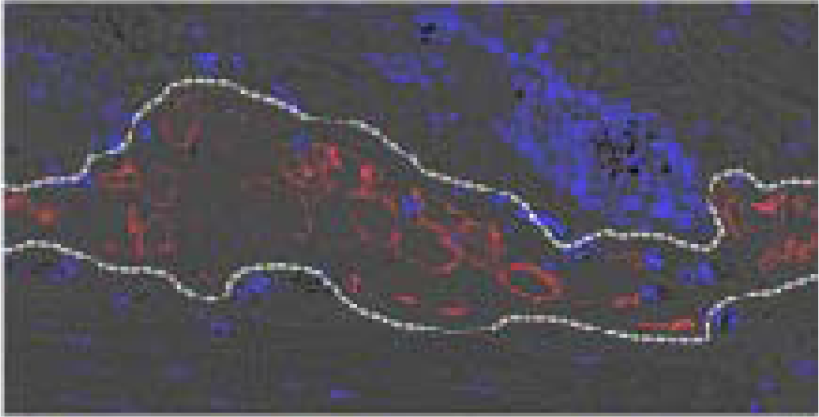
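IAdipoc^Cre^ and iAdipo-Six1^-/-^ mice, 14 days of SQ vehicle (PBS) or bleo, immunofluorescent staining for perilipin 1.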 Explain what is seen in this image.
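A section of skin with a band of adipocytes running across the field, bounded above and below by white dashed lines. Within the band, red rings trace the edges of rounded, closely packed cells with large unstained centres, where the lipid droplets sit; the rings vary in size and some are elongated.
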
